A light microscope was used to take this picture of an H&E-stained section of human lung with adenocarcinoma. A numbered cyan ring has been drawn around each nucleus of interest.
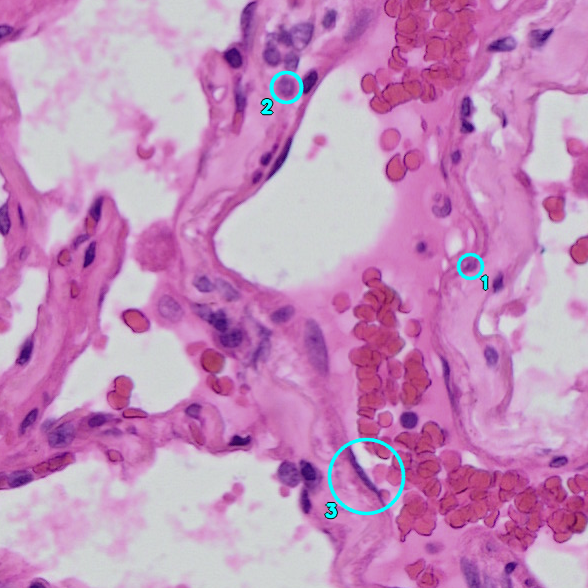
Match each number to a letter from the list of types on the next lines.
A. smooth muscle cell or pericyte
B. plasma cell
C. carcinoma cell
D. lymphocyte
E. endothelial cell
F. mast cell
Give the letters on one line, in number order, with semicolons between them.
A; F; E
